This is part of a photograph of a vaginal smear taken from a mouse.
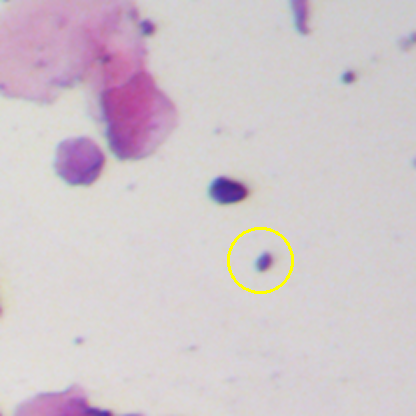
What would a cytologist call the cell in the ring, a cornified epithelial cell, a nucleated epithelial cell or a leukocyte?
A cytologist would call it a leukocyte.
